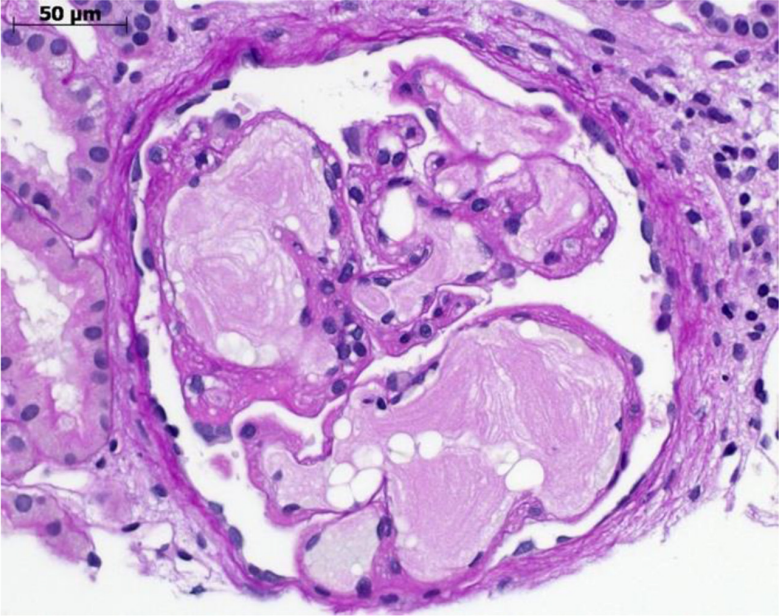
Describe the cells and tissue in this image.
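This is a glomerulus in which several capillary loops are greatly dilated and filled with pale pink, acellular material. The material has a lamellated, swirled texture and holds clear round vacuoles of varying size, some clustered together. The remaining cells of the tuft, with dark nuclei, are pushed to the rims of these ballooned loops and into the narrow stalks between them. A clear urinary space separates the tuft from a thick, magenta-stained capsule. Around the capsule lie tubules lined by cuboidal epithelium and interstitium with scattered nuclei.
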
